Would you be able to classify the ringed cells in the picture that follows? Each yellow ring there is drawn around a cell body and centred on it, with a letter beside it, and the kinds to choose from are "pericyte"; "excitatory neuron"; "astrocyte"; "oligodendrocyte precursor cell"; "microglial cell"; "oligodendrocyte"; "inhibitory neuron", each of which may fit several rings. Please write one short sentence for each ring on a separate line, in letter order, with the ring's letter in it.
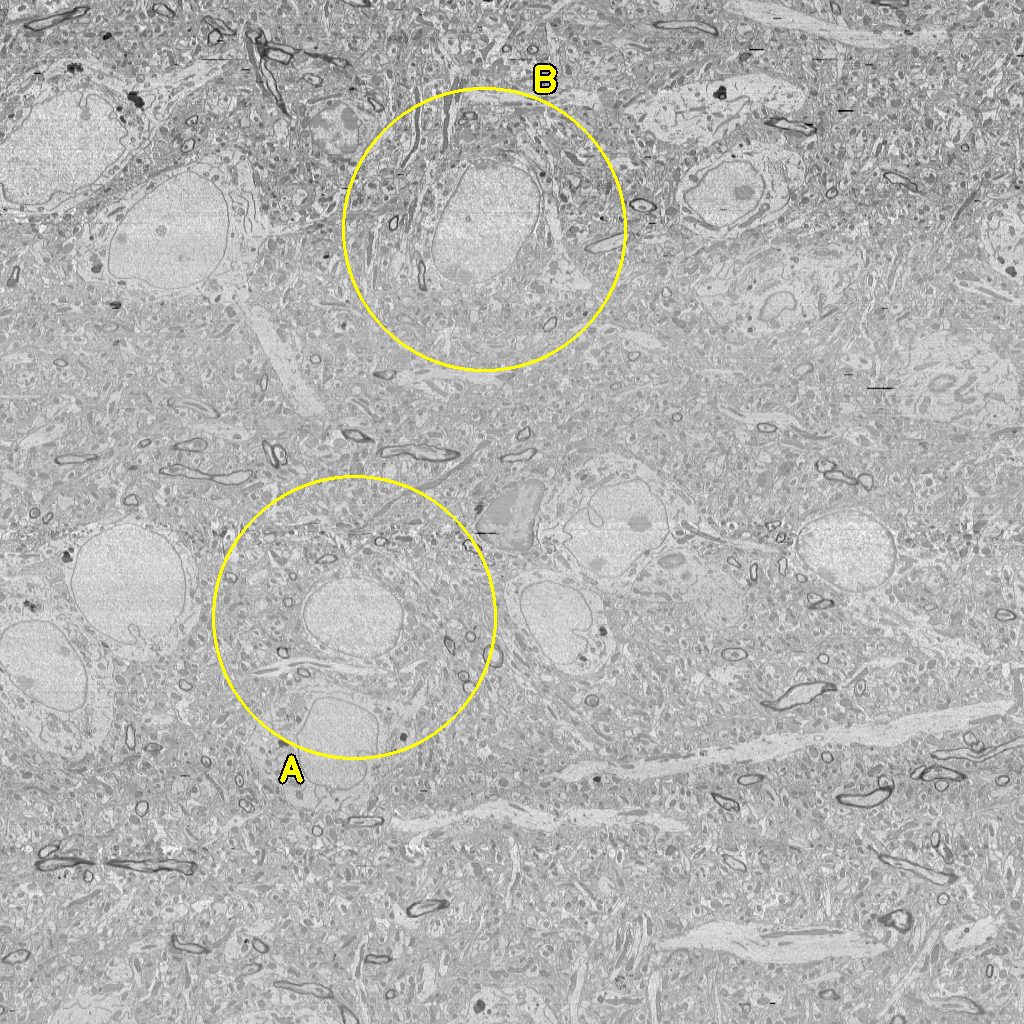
The cell body at the centre of ring A belongs to an astrocyte.
The cell body at the centre of ring B belongs to an astrocyte.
